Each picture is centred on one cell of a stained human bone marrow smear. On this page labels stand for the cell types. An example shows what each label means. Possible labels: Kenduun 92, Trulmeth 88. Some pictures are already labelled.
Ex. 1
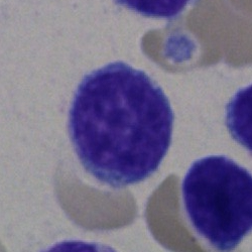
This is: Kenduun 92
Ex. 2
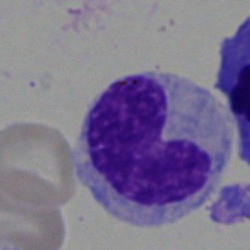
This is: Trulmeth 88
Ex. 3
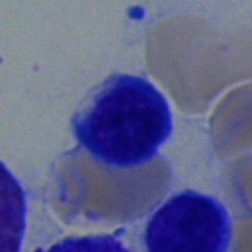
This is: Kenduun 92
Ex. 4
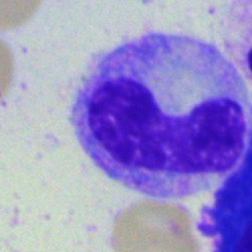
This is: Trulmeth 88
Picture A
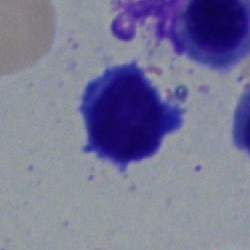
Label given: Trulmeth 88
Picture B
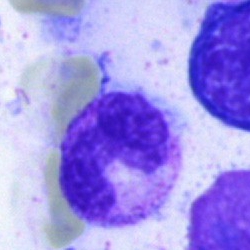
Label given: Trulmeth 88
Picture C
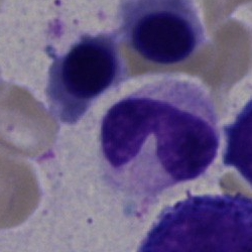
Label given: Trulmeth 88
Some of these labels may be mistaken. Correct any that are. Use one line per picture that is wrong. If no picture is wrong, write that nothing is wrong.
A should be Kenduun 92, not Trulmeth 88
